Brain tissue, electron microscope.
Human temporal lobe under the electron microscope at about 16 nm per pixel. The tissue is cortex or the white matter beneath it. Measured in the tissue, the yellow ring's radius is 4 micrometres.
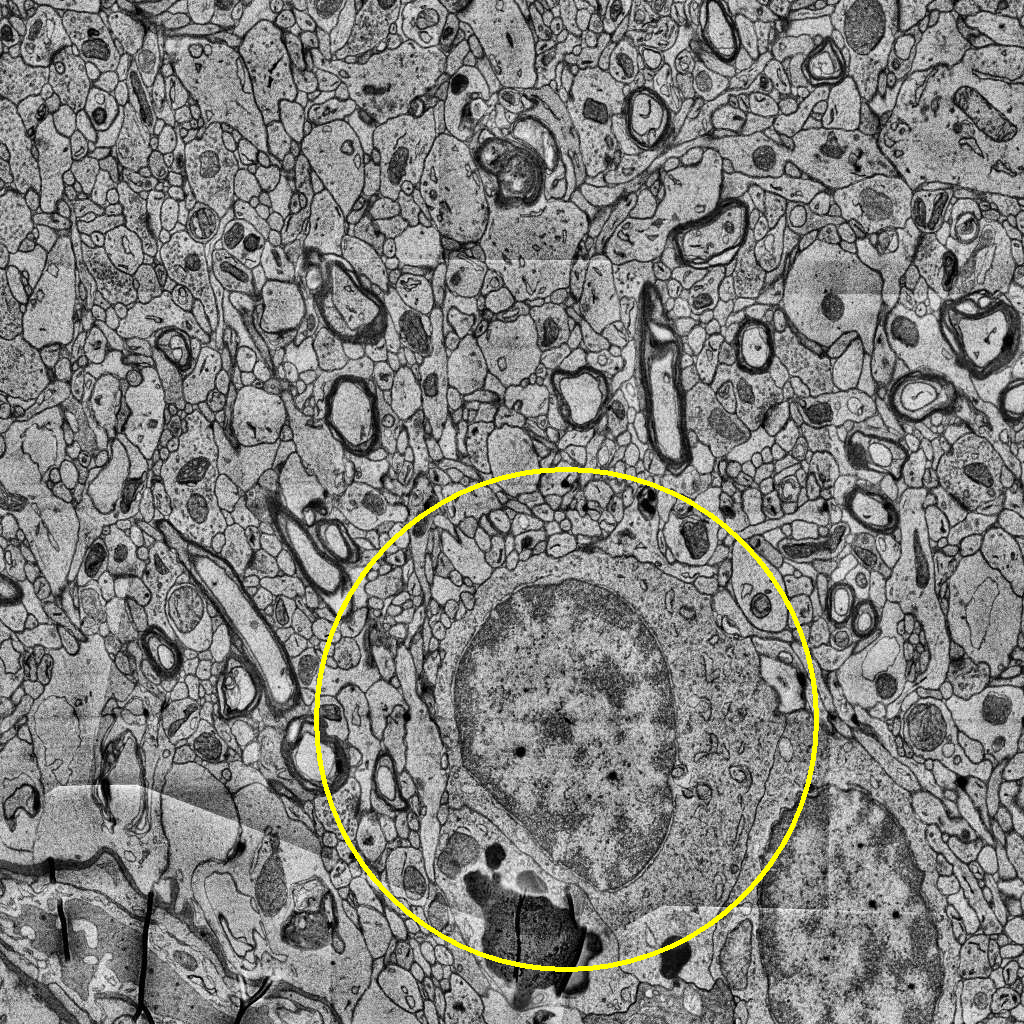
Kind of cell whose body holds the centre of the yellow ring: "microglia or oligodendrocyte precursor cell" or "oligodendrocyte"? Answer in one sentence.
The ring's centre falls on an oligodendrocyte.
